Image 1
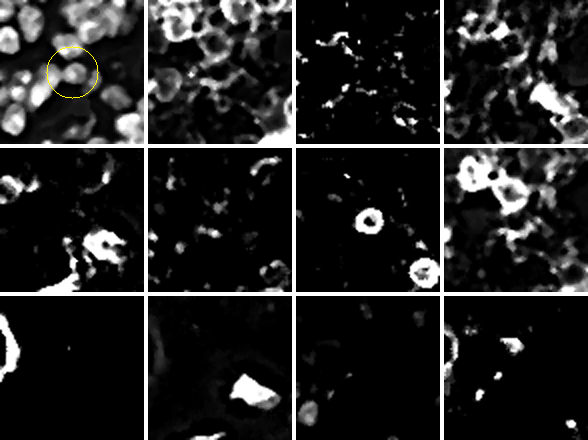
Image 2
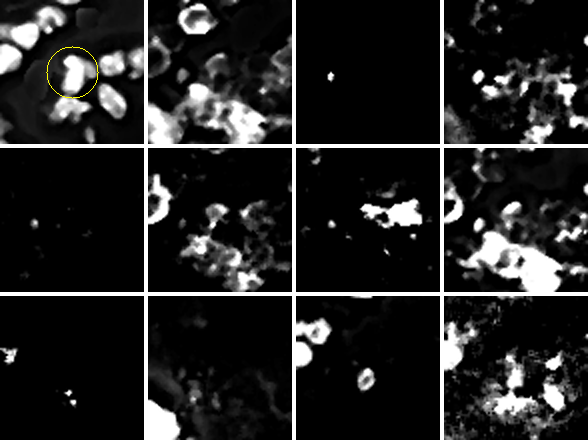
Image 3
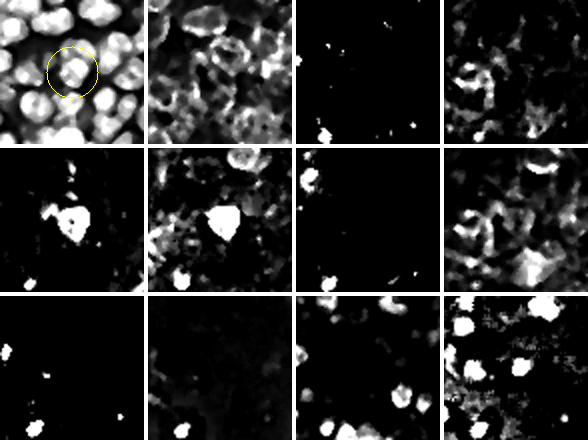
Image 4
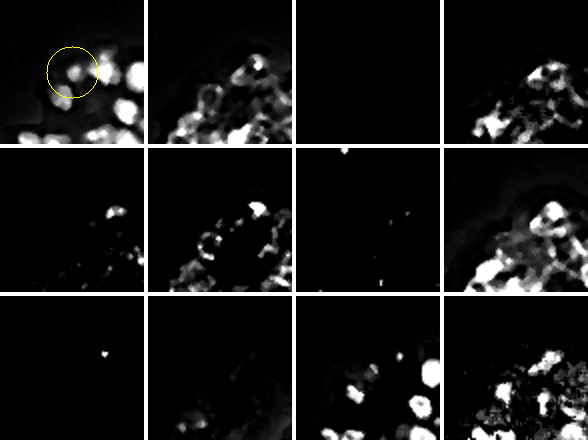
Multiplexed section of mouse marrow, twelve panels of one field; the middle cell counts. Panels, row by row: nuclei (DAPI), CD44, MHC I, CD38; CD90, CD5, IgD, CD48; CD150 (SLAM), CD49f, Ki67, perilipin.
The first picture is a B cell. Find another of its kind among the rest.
Picture 2.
